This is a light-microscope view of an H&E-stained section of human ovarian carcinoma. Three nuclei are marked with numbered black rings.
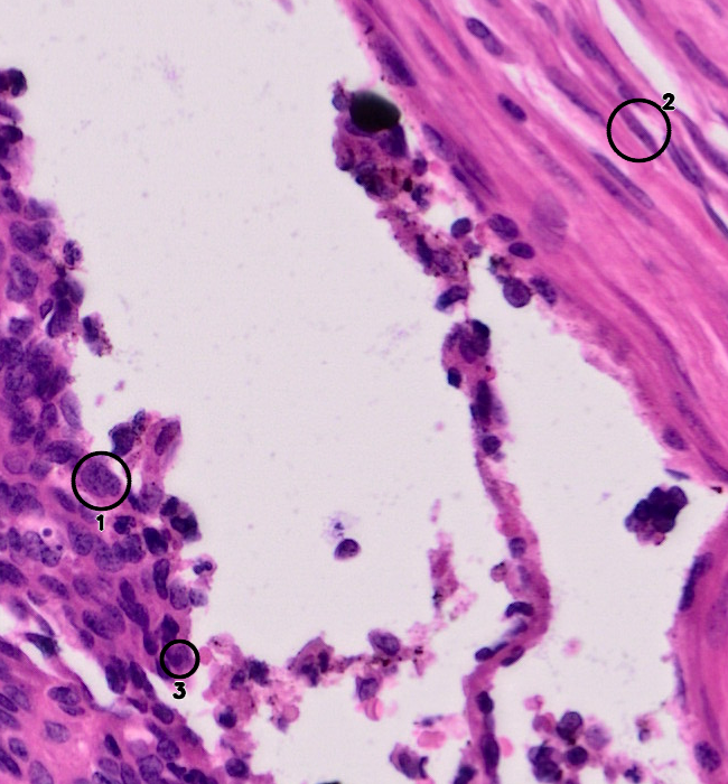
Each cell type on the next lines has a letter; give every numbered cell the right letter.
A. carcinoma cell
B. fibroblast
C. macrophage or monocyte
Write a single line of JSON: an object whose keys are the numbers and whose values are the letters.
{"1": "A", "2": "B", "3": "A"}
